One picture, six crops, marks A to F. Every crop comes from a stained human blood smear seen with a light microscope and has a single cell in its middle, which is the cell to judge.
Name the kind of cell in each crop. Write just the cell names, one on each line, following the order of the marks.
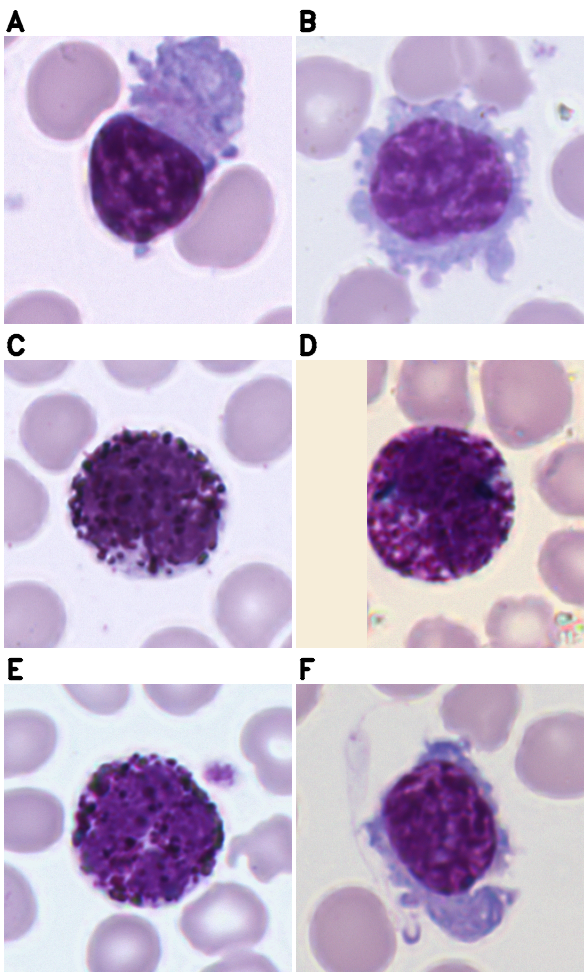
plasma cell
plasma cell
basophil
basophil
basophil
plasma cell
